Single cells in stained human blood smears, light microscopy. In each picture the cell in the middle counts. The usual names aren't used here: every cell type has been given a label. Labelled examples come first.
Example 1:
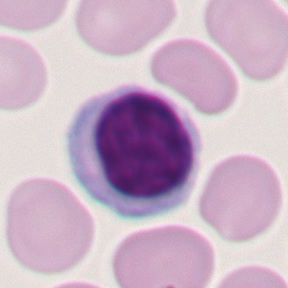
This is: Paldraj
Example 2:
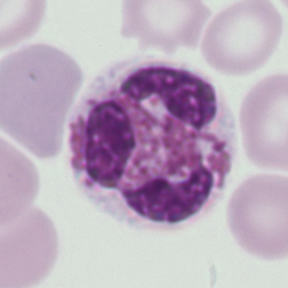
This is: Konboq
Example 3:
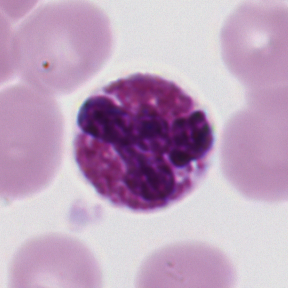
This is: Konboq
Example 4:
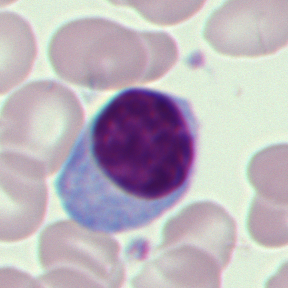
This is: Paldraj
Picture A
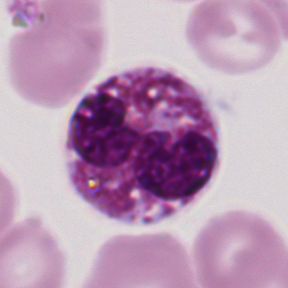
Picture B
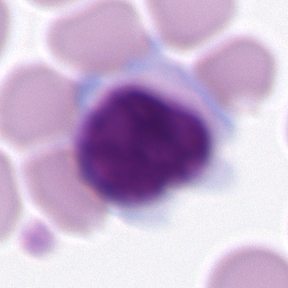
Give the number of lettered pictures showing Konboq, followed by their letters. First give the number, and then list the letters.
1: A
